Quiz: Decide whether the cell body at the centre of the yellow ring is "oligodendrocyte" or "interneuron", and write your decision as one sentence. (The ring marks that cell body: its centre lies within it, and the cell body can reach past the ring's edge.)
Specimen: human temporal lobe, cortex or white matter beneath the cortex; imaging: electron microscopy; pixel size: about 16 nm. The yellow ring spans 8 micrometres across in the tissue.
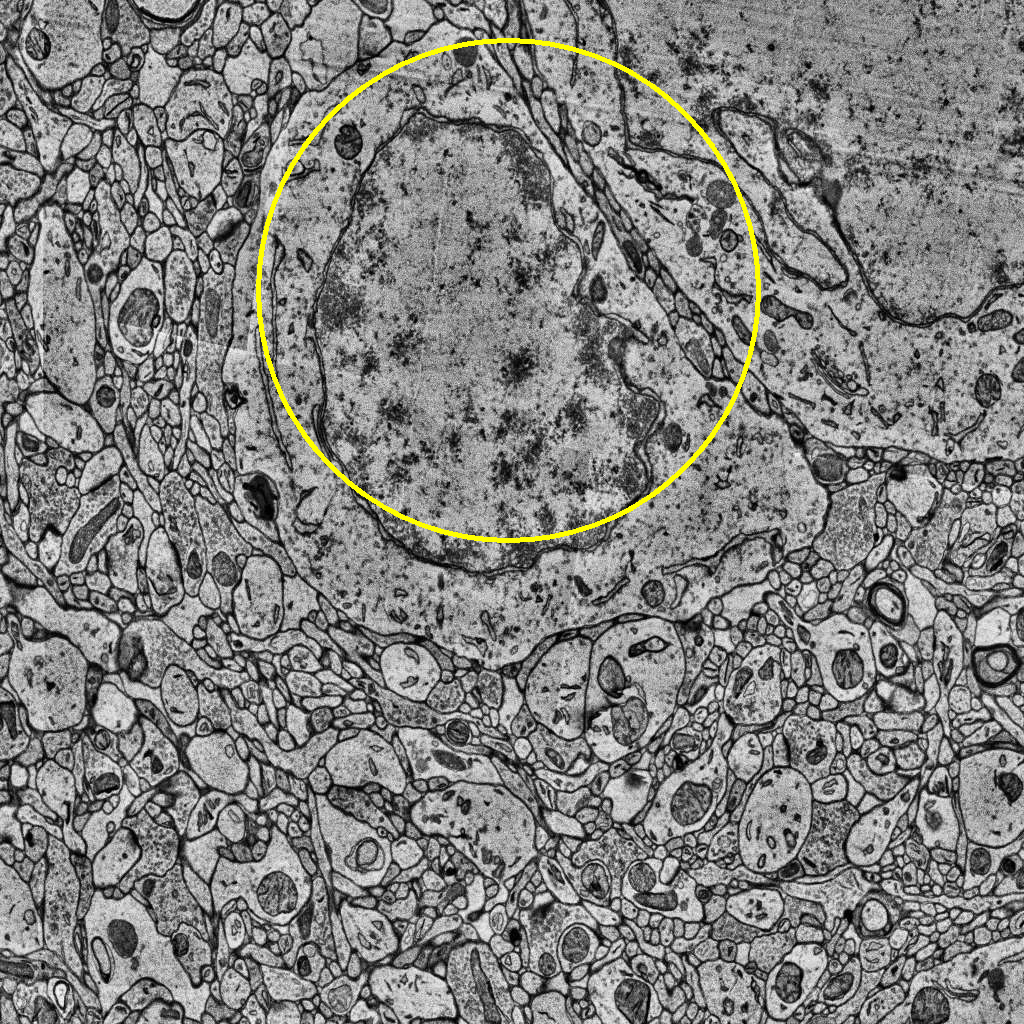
The cell holding the ring's centre is an interneuron.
